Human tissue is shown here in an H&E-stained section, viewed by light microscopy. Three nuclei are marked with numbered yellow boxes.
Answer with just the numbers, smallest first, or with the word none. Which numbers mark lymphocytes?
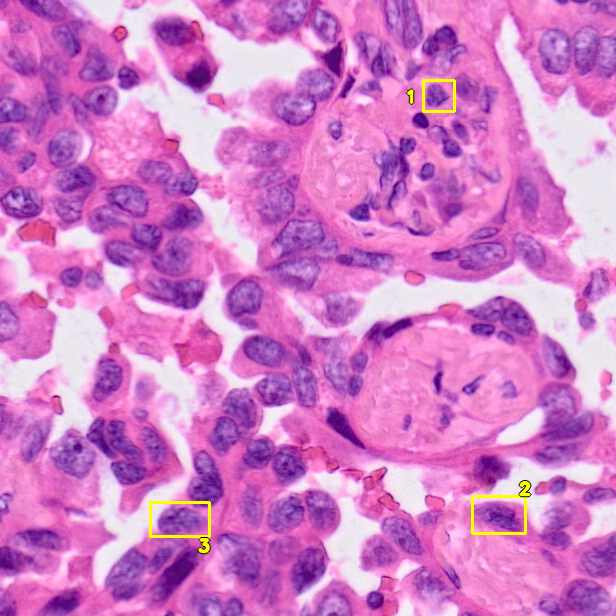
1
